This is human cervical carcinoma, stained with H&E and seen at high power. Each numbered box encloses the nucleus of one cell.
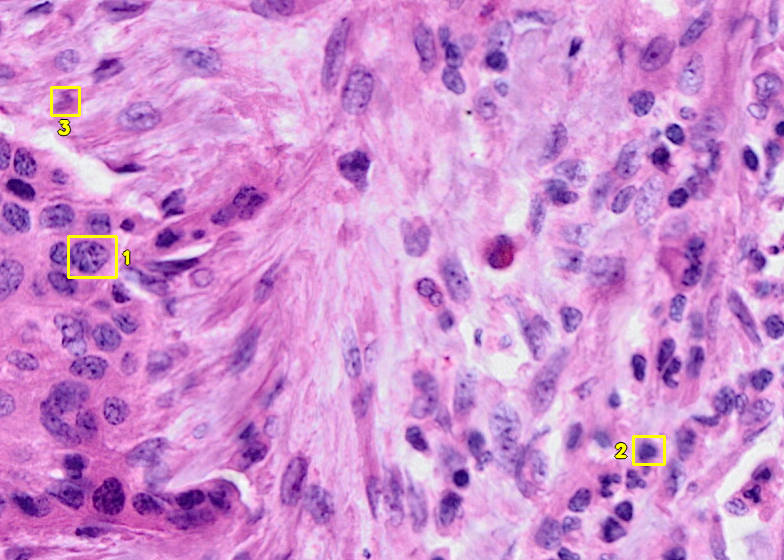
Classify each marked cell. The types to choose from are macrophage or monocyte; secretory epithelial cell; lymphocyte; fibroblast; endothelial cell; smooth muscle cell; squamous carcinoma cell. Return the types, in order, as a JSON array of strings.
["squamous carcinoma cell", "lymphocyte", "fibroblast"]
